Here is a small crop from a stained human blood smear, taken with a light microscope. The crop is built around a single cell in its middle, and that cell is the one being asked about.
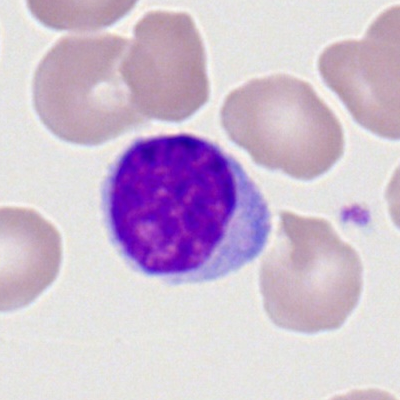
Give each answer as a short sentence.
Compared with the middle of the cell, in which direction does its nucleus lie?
The nucleus sits off-centre, toward the upper left.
